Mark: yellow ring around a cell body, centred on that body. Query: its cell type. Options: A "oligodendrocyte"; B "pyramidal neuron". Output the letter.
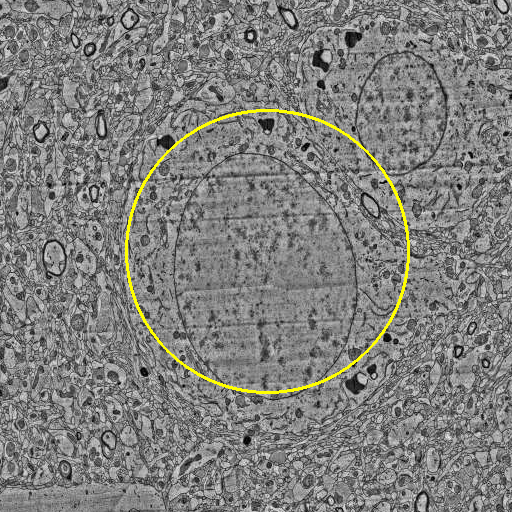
B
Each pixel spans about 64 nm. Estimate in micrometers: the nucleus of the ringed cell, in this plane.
The nucleus measures about 15 by 12 micrometres in this plane.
